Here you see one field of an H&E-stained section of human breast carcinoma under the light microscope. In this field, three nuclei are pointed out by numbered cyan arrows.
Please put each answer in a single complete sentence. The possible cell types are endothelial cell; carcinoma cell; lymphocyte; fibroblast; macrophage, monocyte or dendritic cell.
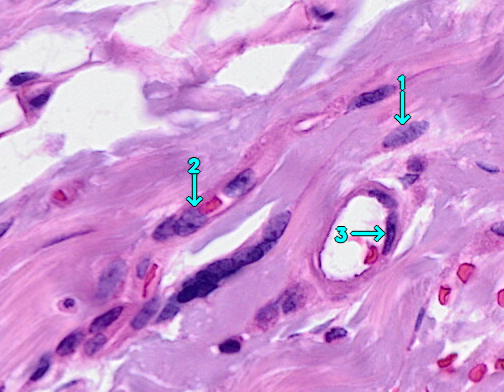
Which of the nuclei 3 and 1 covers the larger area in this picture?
Number 1 is larger; its area is about 1.5 times that of number 3.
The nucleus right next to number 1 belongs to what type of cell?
Closest to number 1 lies the nucleus of a macrophage, monocyte or dendritic cell.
